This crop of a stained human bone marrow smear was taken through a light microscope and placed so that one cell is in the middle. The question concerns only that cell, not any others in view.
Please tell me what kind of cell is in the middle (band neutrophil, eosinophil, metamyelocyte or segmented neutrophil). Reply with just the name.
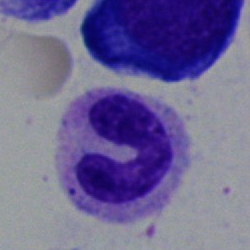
band neutrophil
